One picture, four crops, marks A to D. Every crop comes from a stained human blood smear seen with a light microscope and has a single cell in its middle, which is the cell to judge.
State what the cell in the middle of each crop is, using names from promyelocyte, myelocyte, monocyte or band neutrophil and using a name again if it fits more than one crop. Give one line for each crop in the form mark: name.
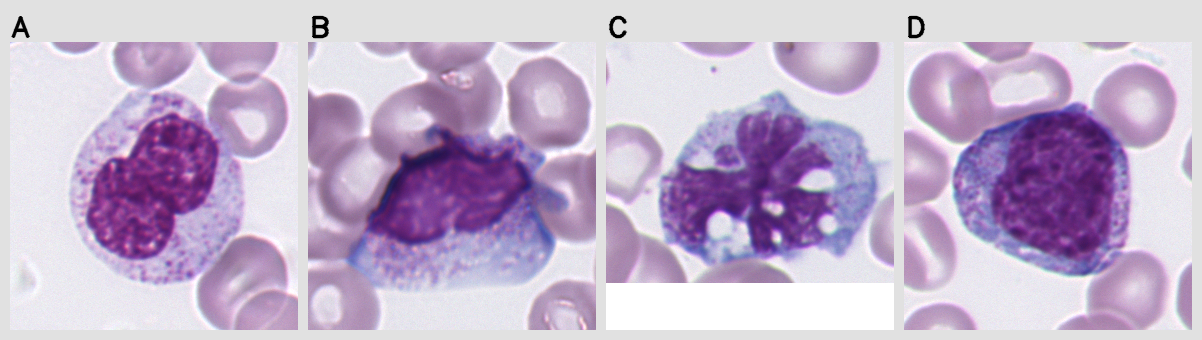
A: band neutrophil
B: promyelocyte
C: monocyte
D: promyelocyte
